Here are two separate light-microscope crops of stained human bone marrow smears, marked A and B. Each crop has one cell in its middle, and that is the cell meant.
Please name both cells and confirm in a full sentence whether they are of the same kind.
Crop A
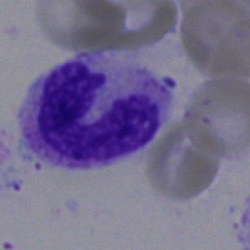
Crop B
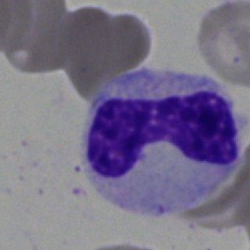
Yes, both of the crops show band neutrophils.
